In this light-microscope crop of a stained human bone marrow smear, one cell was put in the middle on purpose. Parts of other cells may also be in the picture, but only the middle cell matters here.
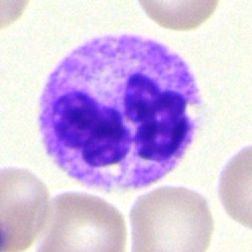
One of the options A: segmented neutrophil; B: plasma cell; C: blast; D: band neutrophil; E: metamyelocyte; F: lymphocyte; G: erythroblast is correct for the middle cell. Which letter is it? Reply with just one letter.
A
